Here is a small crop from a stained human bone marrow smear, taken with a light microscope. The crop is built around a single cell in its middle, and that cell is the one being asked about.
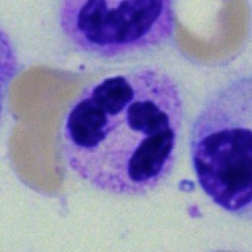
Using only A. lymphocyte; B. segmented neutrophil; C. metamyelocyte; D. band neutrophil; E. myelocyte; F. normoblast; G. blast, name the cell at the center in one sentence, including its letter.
Answer key: option B, the middle cell being a segmented neutrophil.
